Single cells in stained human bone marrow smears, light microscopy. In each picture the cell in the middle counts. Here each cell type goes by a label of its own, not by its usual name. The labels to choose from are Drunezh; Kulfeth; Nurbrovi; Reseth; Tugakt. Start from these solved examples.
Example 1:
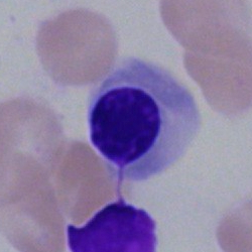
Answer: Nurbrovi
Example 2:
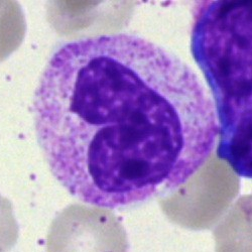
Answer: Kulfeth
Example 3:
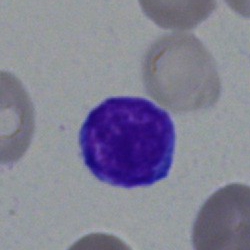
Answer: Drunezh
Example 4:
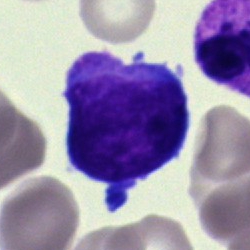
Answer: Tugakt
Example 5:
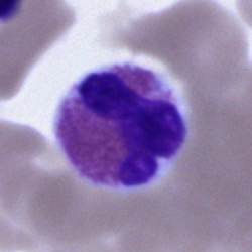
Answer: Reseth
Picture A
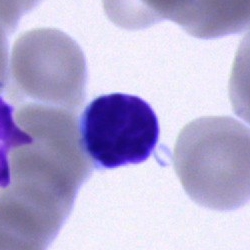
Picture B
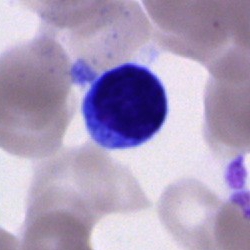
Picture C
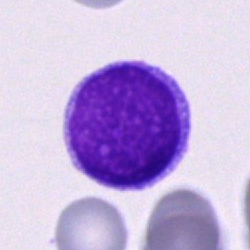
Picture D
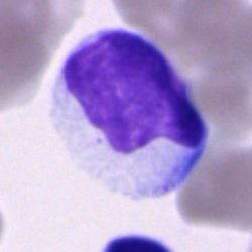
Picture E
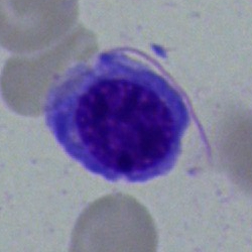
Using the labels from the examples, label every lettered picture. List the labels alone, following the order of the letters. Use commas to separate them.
Drunezh, Drunezh, Tugakt, Tugakt, Nurbrovi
